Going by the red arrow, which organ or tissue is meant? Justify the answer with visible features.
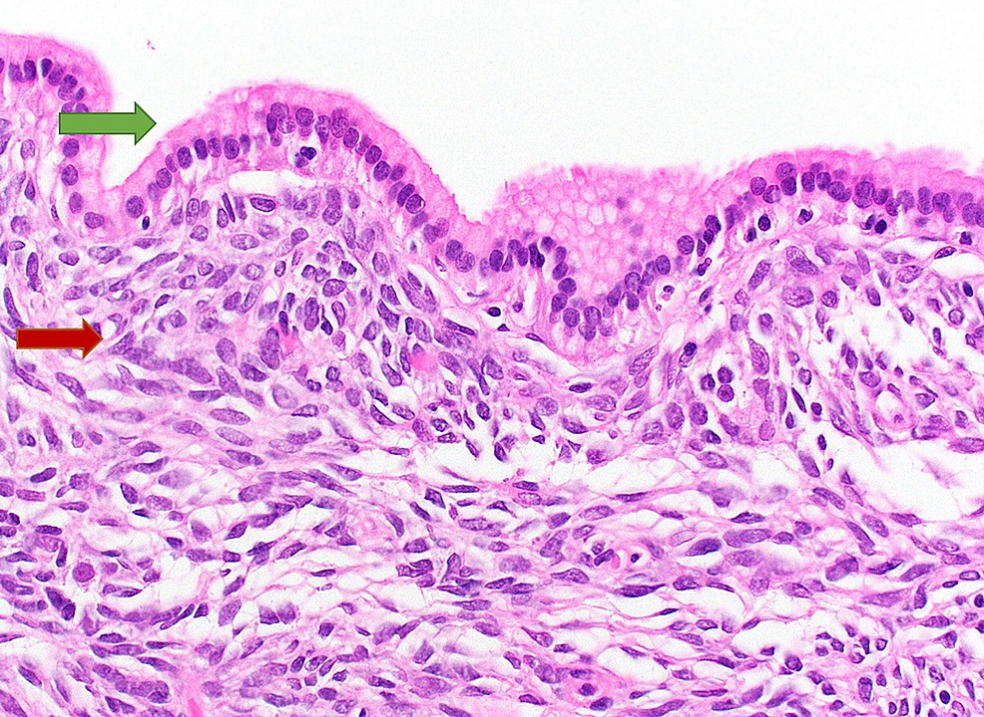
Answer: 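Beneath the lining lies densely packed tissue of spindle-shaped cells. The spindle cells have uniform elongated oval nuclei without marked atypia. On this evidence: ovarian-like, mesenchymal stroma.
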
